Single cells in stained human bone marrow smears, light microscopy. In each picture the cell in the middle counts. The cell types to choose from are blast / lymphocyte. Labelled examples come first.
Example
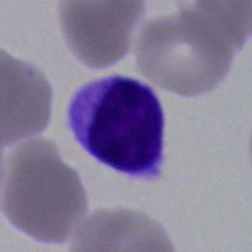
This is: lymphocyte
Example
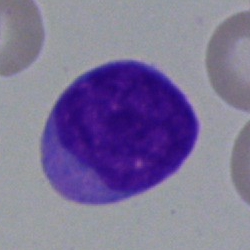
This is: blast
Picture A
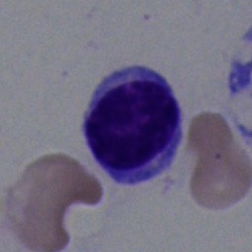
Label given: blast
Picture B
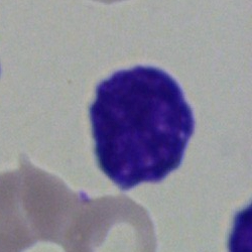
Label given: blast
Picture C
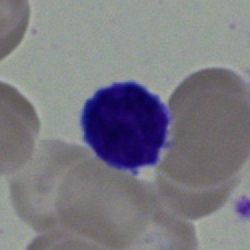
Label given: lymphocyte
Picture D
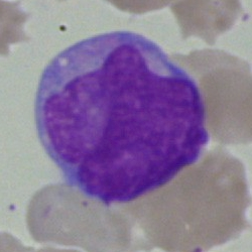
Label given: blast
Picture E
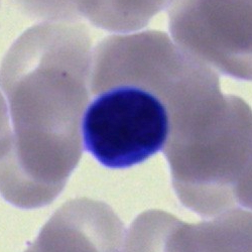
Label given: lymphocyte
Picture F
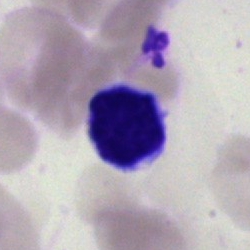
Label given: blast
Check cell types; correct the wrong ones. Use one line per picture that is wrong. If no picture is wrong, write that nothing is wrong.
A: lymphocyte, not blast
F: lymphocyte, not blast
